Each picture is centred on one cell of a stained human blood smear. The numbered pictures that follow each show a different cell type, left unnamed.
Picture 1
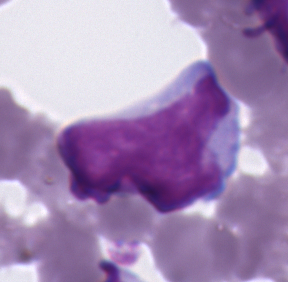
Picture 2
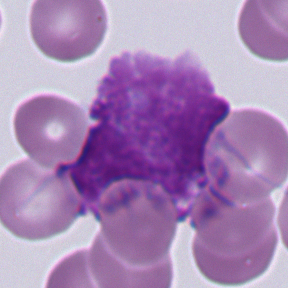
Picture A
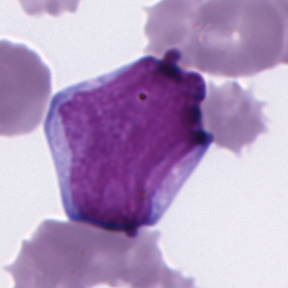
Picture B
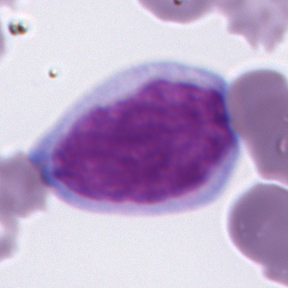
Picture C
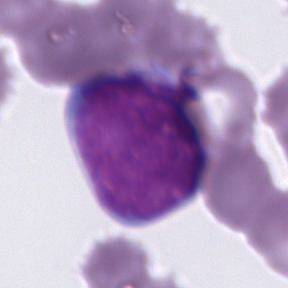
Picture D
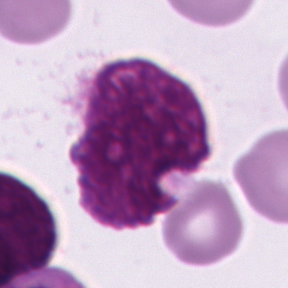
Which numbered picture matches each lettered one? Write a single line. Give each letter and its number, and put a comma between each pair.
A 1, B 1, C 1, D 2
